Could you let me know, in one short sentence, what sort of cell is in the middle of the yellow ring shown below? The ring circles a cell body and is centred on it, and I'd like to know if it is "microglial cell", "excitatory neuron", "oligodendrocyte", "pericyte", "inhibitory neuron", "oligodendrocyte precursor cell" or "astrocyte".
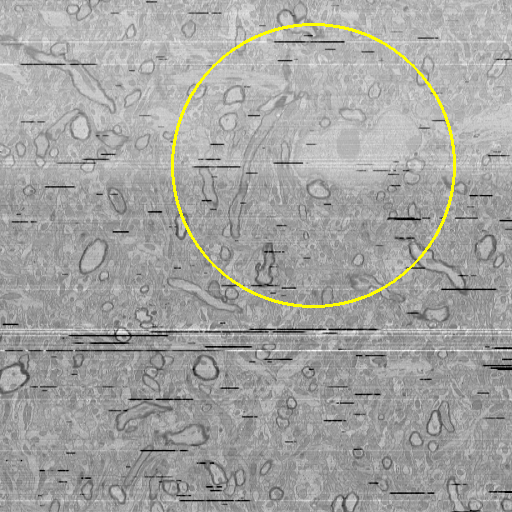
The ring circles the cell body of an oligodendrocyte precursor cell.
